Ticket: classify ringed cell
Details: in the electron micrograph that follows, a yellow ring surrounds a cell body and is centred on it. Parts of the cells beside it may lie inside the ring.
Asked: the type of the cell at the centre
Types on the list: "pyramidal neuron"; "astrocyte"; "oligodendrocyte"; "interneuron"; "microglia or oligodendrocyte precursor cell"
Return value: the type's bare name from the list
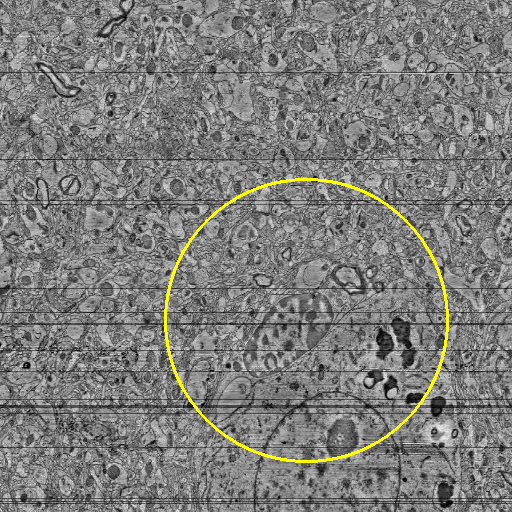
microglia or oligodendrocyte precursor cell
